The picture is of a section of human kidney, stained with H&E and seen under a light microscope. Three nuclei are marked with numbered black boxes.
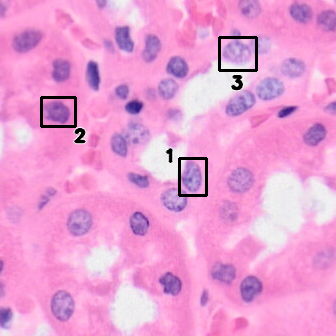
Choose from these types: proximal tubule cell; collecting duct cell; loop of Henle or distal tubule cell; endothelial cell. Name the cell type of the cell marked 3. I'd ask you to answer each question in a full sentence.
Belonging to a collecting duct cell is the nucleus that carries the number 3.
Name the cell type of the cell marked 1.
Identified by the number 1, the cell is a collecting duct cell.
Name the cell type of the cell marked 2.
The marked nucleus 2 is that of a proximal tubule cell.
